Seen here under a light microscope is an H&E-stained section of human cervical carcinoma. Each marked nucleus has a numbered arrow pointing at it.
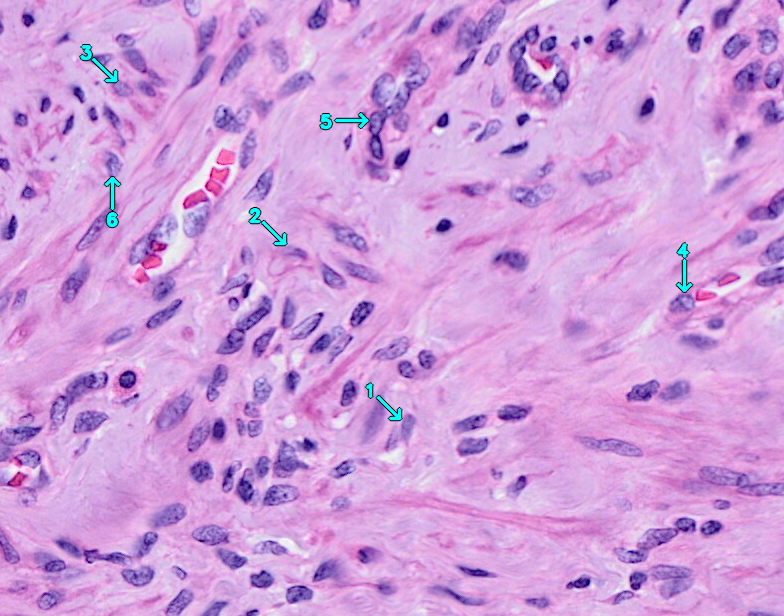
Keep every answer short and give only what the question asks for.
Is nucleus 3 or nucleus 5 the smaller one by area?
3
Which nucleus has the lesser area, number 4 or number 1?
1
